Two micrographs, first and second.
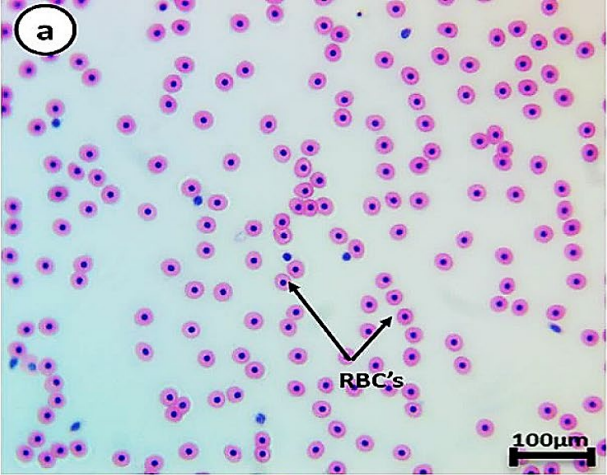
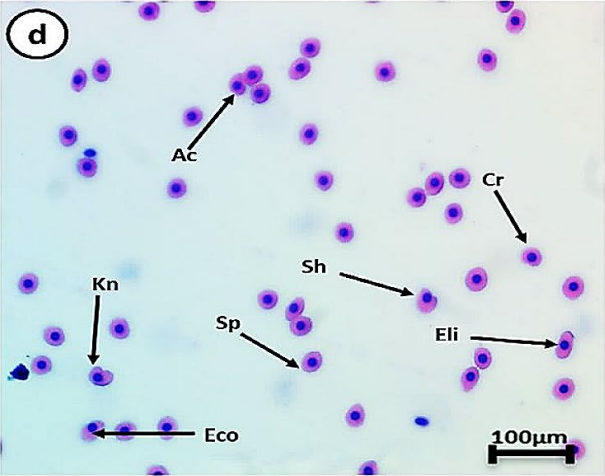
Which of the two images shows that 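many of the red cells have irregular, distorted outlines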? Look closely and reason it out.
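The second image. Second image: several cells are notched, elongated, kidney-shaped or have nuclei displaced to one side.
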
